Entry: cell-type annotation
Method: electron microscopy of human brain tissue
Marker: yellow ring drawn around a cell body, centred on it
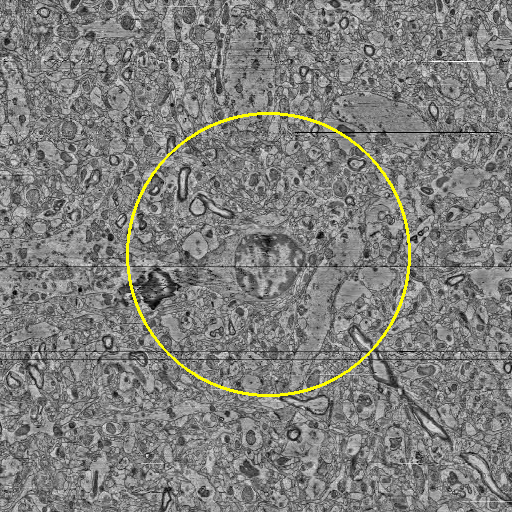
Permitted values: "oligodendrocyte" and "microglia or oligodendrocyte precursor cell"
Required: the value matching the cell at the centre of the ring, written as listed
oligodendrocyte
